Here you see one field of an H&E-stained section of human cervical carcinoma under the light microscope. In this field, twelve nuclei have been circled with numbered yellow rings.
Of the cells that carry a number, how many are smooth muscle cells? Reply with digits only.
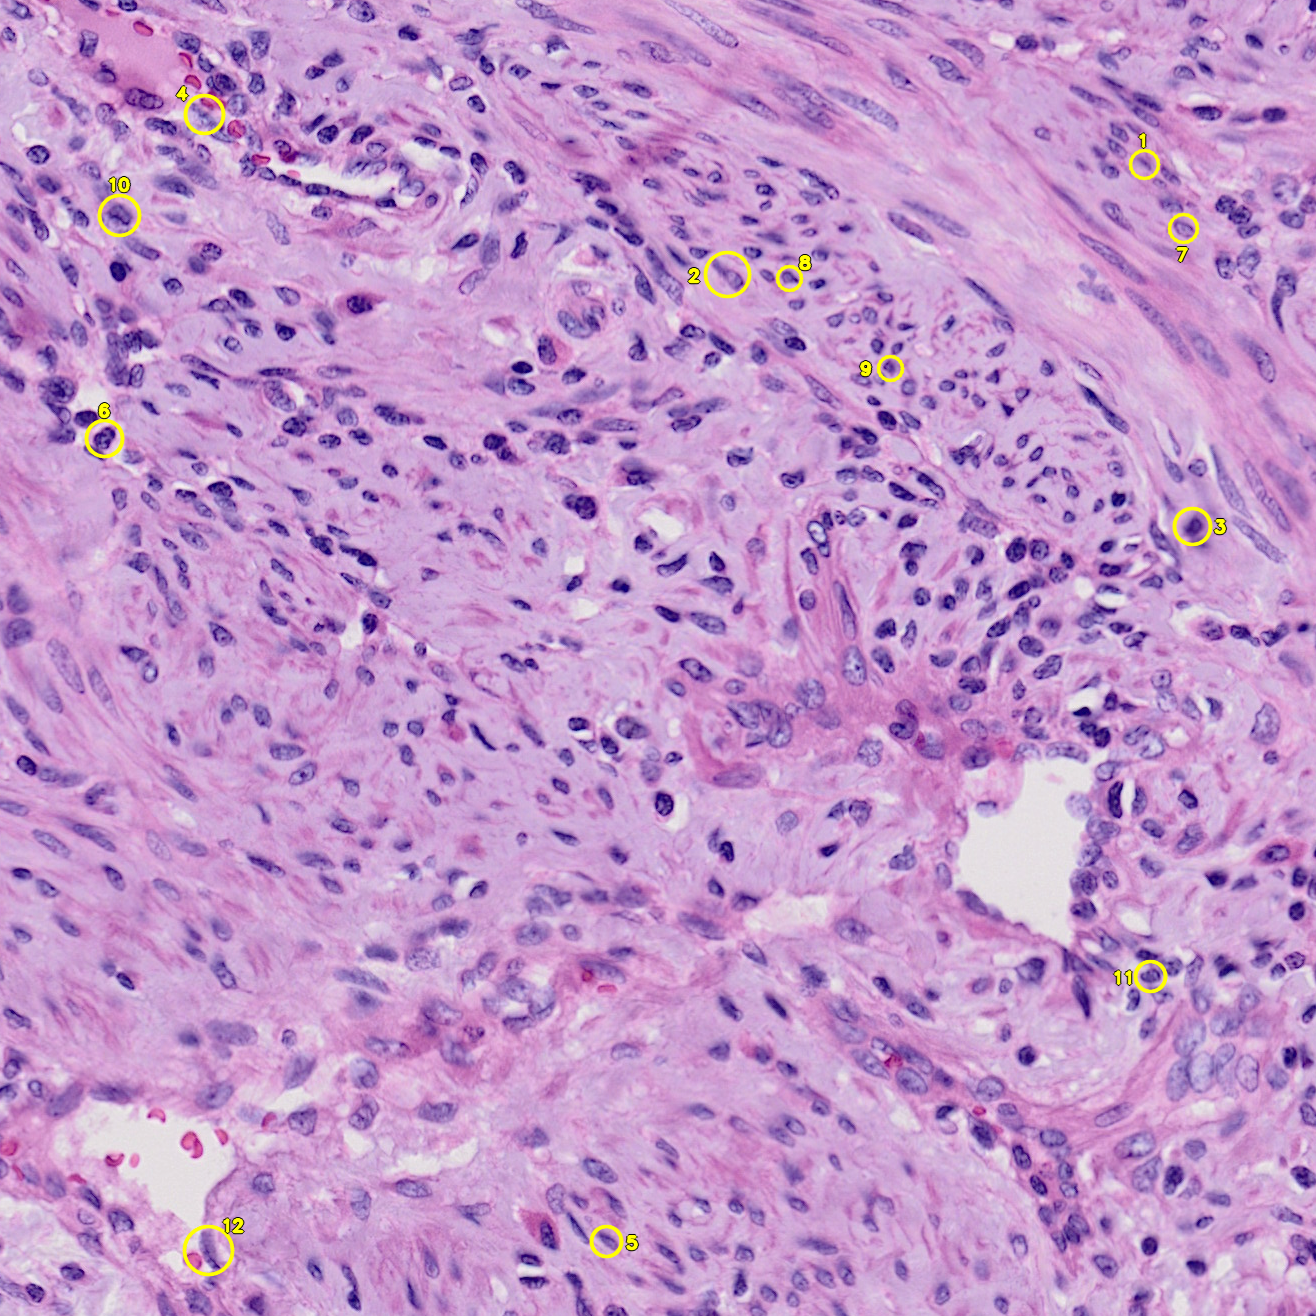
6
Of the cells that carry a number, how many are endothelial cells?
2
